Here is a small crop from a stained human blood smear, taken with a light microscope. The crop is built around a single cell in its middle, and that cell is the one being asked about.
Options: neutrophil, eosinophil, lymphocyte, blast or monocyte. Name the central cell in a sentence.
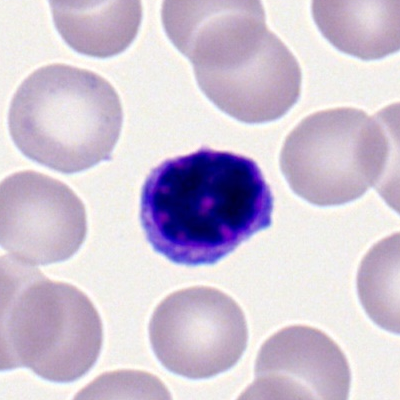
At the middle of the frame sits a lymphocyte.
